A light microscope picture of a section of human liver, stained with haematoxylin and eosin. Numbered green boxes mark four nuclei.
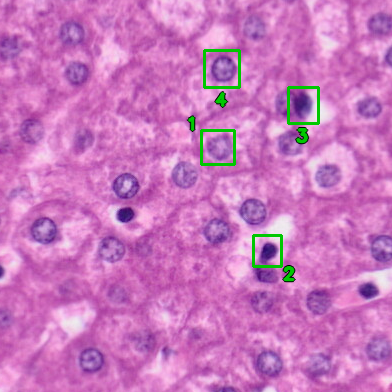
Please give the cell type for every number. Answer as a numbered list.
1. hepatocyte
2. lymphocyte
3. endothelial cell
4. hepatocyte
